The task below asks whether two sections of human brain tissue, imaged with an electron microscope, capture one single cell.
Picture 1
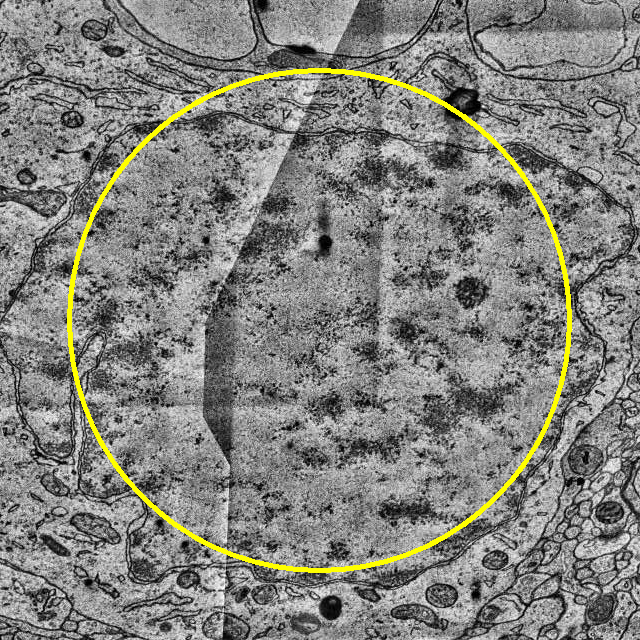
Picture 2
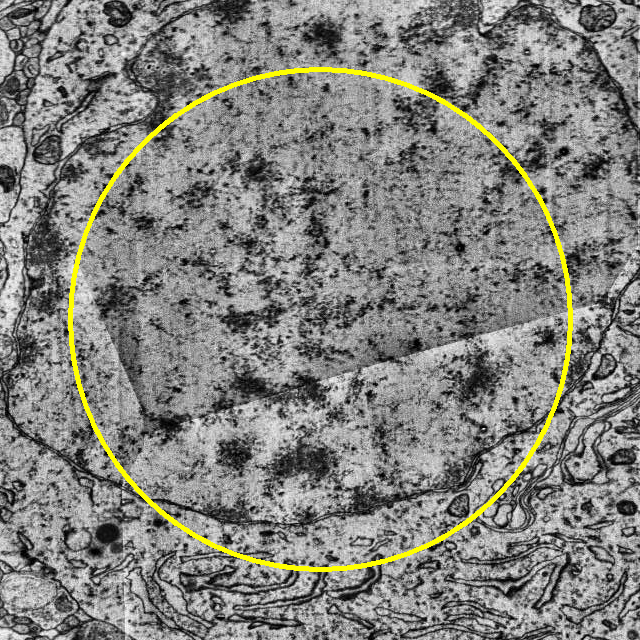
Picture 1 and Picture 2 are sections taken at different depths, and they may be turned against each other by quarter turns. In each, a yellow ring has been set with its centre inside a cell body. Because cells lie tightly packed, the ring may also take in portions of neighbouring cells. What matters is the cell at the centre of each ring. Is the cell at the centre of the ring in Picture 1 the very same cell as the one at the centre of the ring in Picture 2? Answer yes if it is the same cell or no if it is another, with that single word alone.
yes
